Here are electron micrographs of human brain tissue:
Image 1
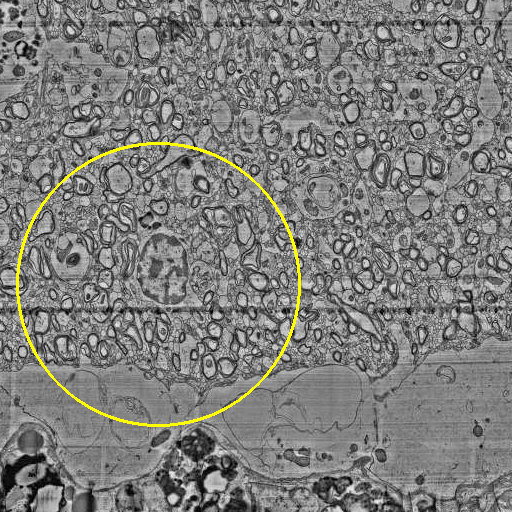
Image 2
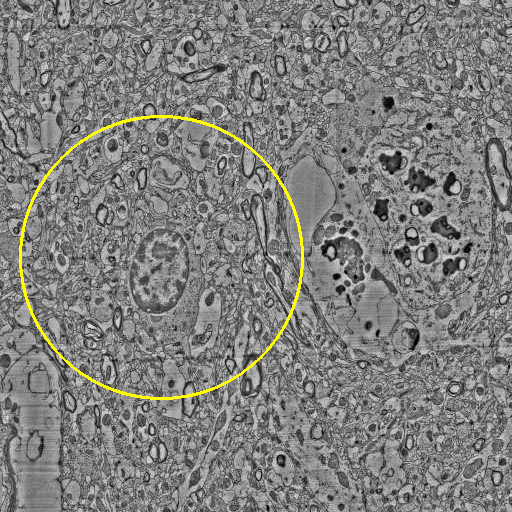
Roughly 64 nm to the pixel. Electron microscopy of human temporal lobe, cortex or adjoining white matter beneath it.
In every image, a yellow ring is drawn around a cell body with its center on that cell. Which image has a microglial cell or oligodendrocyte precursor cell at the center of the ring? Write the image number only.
1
